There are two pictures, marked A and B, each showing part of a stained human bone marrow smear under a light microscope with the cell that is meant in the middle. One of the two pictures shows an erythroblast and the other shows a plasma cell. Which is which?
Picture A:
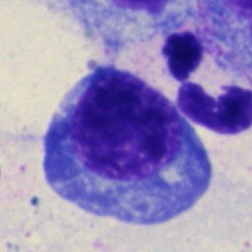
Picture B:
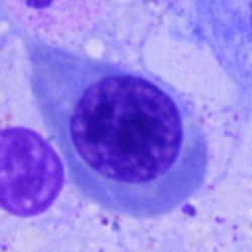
A: plasma cell
B: erythroblast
